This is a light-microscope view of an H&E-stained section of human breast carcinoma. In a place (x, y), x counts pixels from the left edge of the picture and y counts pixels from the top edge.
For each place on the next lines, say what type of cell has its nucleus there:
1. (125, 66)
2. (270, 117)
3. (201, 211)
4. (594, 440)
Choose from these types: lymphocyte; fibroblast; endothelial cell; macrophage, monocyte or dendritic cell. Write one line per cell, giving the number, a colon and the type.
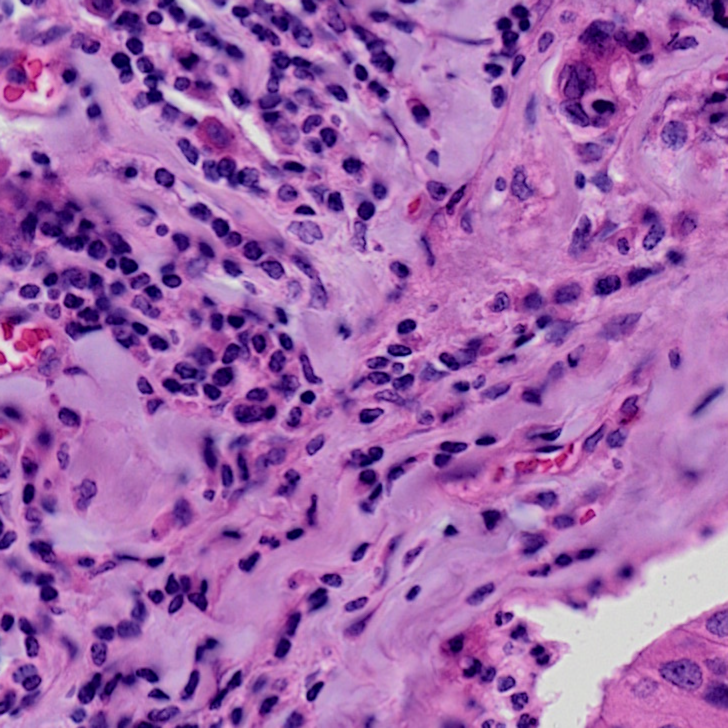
1: lymphocyte
2: lymphocyte
3: lymphocyte
4: endothelial cell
